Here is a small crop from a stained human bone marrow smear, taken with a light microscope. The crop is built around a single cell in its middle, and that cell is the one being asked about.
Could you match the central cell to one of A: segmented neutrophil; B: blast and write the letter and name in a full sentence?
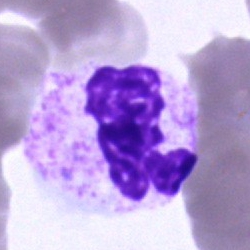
The one to choose is option A, as the cell in the middle is a segmented neutrophil.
